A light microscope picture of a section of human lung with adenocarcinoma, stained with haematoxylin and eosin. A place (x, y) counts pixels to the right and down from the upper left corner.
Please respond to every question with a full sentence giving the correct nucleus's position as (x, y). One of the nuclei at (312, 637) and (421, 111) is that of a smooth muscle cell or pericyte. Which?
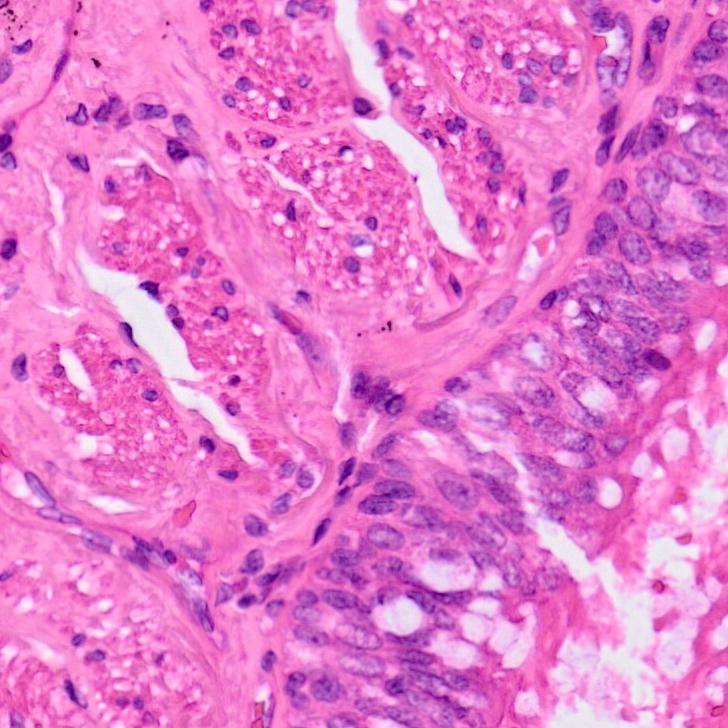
Housed in a smooth muscle cell or pericyte is the nucleus at (421, 111), not the other one.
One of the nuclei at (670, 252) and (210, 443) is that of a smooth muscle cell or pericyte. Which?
The nucleus of a smooth muscle cell or pericyte lies at (210, 443), not at the other position.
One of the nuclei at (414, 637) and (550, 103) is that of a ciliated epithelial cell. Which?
The nucleus at (414, 637) is contained in a ciliated epithelial cell.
